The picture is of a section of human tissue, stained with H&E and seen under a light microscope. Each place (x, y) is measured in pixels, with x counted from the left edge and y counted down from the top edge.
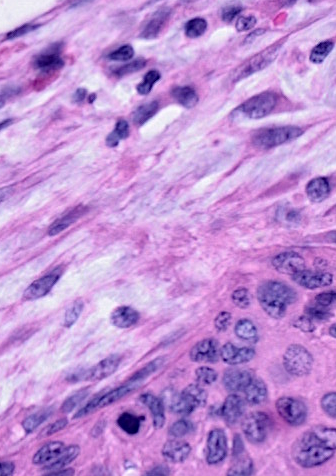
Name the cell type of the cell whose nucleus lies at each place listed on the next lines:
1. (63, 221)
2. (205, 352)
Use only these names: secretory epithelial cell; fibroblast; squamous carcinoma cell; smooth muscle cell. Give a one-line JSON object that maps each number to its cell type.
{"1": "fibroblast", "2": "squamous carcinoma cell"}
